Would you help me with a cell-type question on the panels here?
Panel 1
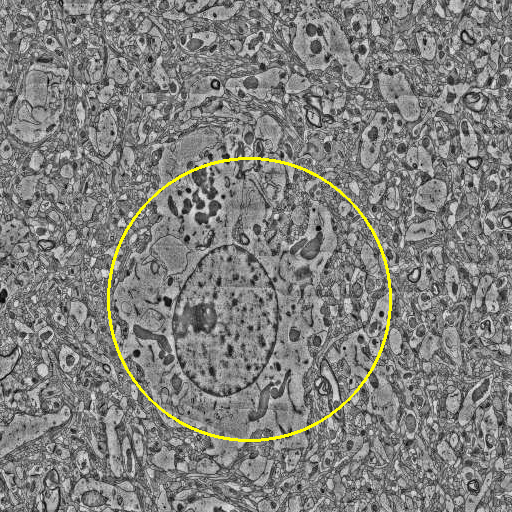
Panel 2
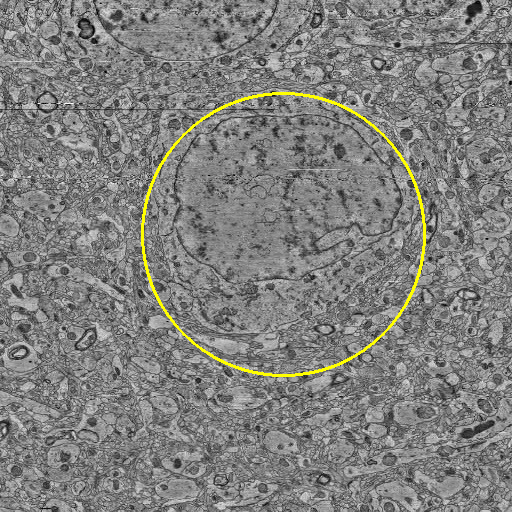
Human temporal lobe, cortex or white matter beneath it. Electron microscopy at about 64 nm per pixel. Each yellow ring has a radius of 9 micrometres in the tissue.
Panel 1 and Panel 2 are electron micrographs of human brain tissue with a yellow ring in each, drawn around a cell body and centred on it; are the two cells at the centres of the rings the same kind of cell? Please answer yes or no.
no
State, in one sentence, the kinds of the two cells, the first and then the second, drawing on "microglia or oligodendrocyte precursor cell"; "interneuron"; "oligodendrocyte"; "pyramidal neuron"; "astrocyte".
The ring in the second picture is centred on a pyramidal neuron, the ring in the first on an astrocyte.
